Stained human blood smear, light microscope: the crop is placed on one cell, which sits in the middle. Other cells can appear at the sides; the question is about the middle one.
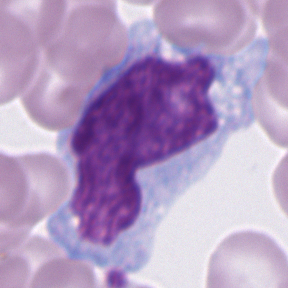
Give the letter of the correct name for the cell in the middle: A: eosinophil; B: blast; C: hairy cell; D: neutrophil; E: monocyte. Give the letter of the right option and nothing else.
E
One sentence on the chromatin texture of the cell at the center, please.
The chromatin is fine, with no coarse clumping anywhere.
